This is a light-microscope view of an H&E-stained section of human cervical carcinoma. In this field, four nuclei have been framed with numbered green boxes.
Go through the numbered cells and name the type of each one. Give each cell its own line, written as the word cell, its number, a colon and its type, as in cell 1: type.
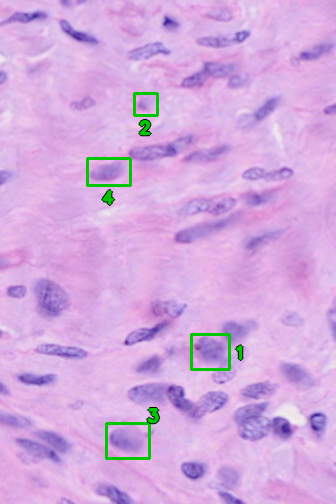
cell 1: fibroblast
cell 2: smooth muscle cell
cell 3: fibroblast
cell 4: smooth muscle cell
